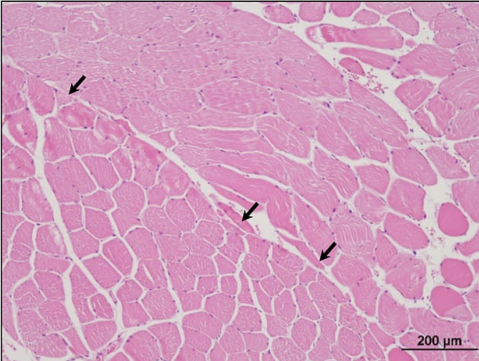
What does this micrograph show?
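This is skeletal muscle, with pink muscle fibers cut partly across and partly along their length, grouped into fascicles separated by pale clefts. Most fibers are polygonal and of similar size, with small dark nuclei at their edges. Along the edges of a fascicle, next to the clefts, a few fibers are markedly smaller and sharply angular. These are atrophic angular muscle fibers lying at the periphery of the fascicle.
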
